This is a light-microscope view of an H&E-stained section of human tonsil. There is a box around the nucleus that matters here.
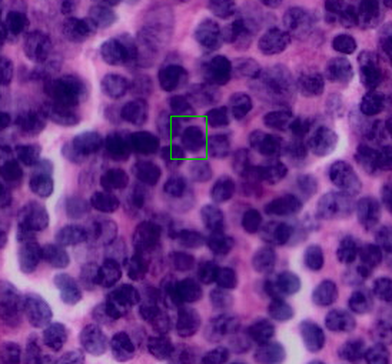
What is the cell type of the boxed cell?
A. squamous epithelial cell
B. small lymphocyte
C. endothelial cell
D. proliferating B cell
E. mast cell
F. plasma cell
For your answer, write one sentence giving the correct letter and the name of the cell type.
Option B gets it right: the boxed cell is a small lymphocyte.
